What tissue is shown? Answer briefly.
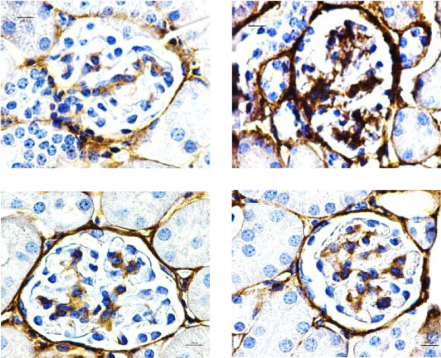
kidney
